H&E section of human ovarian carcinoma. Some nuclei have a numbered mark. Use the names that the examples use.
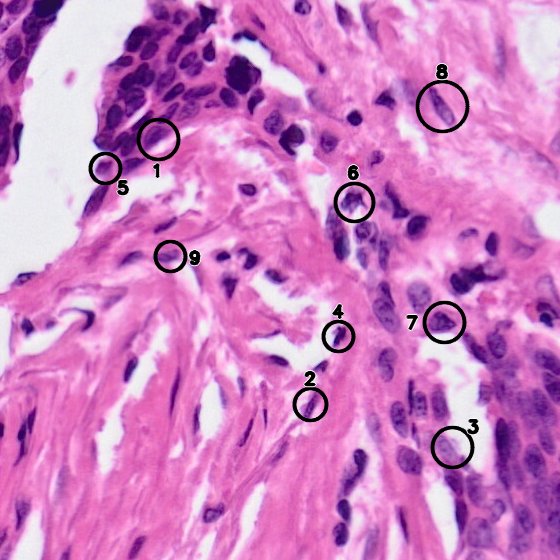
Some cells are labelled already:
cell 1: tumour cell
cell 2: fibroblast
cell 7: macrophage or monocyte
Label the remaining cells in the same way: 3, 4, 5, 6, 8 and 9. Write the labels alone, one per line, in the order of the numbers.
tumour cell
fibroblast
tumour cell
macrophage or monocyte
fibroblast
fibroblast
